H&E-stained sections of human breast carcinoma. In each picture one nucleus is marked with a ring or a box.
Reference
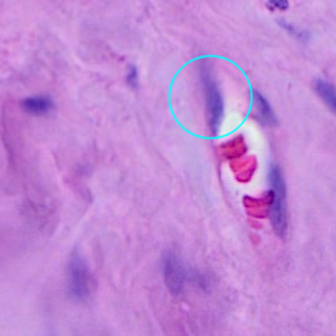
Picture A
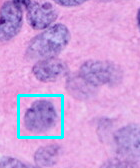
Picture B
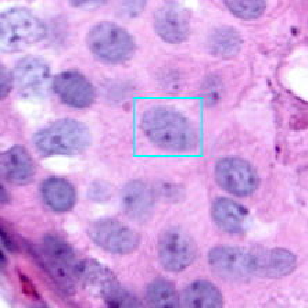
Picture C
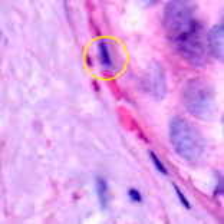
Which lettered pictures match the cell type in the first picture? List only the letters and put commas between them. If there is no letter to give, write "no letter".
C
